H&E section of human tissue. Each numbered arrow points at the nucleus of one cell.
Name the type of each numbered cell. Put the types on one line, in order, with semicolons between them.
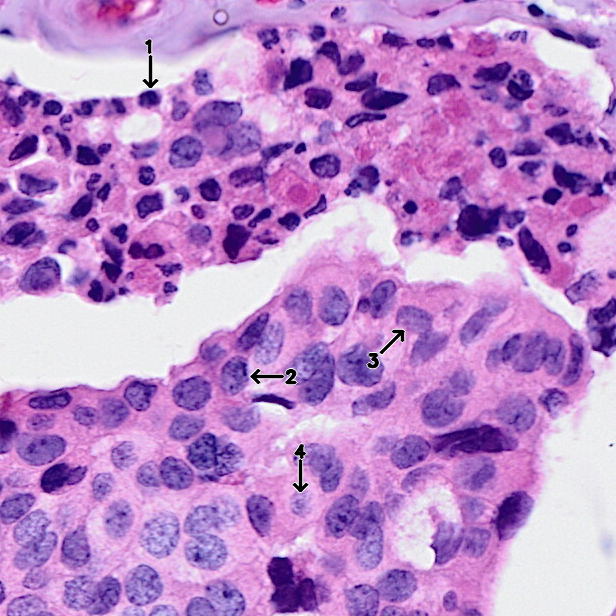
lymphocyte; carcinoma cell; carcinoma cell; carcinoma cell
